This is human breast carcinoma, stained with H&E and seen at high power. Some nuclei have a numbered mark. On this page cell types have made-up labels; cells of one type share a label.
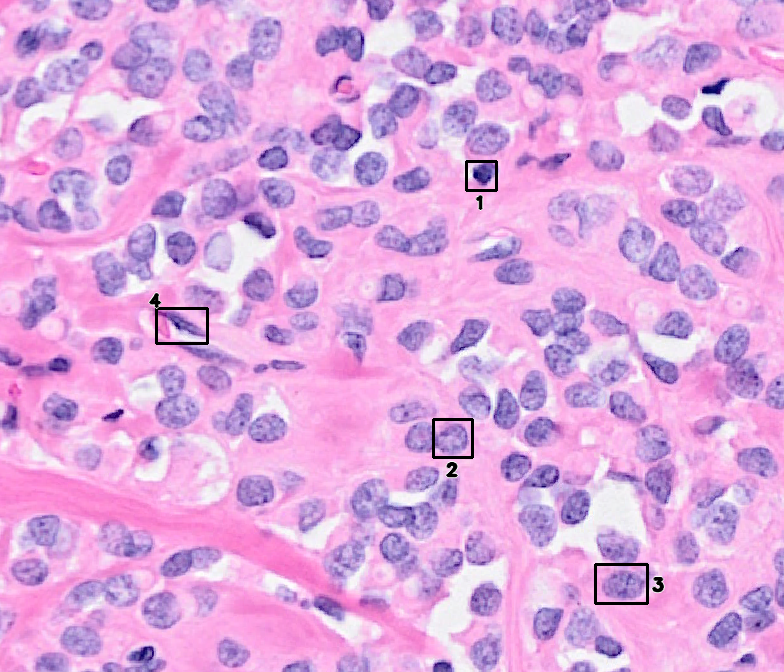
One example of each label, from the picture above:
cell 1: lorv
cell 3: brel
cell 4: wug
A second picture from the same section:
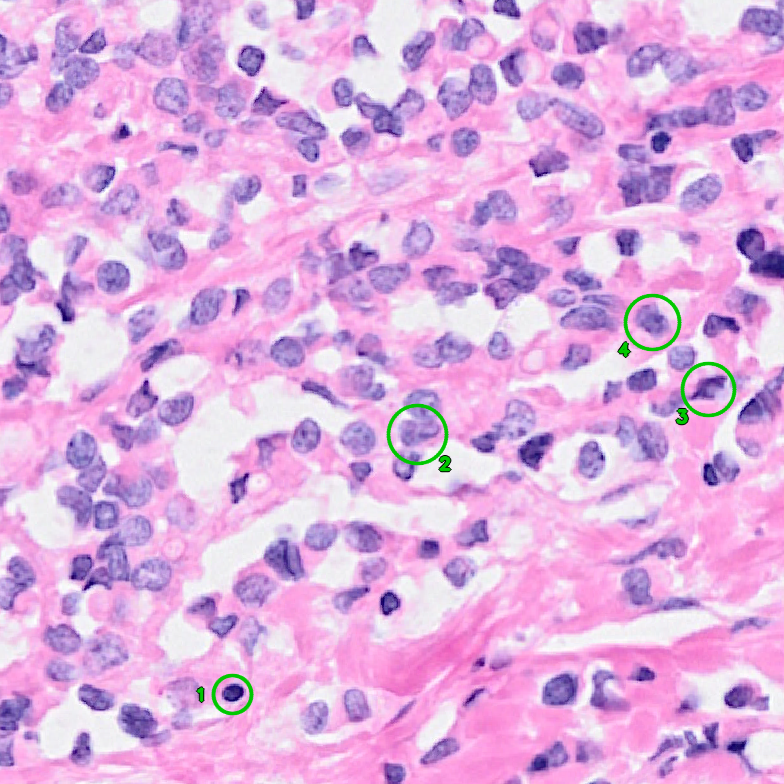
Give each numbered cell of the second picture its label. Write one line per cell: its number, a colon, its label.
1: lorv
2: brel
3: brel
4: brel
